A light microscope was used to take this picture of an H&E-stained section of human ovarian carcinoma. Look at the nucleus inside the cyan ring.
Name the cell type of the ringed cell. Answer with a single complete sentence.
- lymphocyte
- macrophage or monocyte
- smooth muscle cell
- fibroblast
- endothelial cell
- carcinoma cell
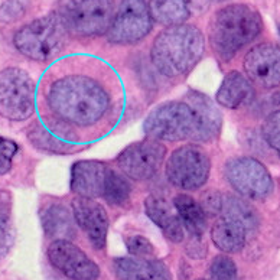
Labelled by cell type, the ringed cell is a carcinoma cell.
